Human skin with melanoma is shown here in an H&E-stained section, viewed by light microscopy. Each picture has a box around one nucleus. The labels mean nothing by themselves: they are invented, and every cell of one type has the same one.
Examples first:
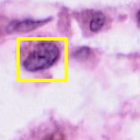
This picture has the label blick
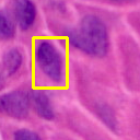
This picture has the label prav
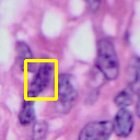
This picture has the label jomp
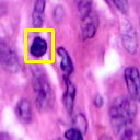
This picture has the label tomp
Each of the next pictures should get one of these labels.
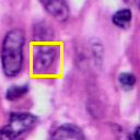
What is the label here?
jomp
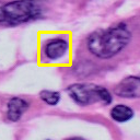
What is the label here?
blick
